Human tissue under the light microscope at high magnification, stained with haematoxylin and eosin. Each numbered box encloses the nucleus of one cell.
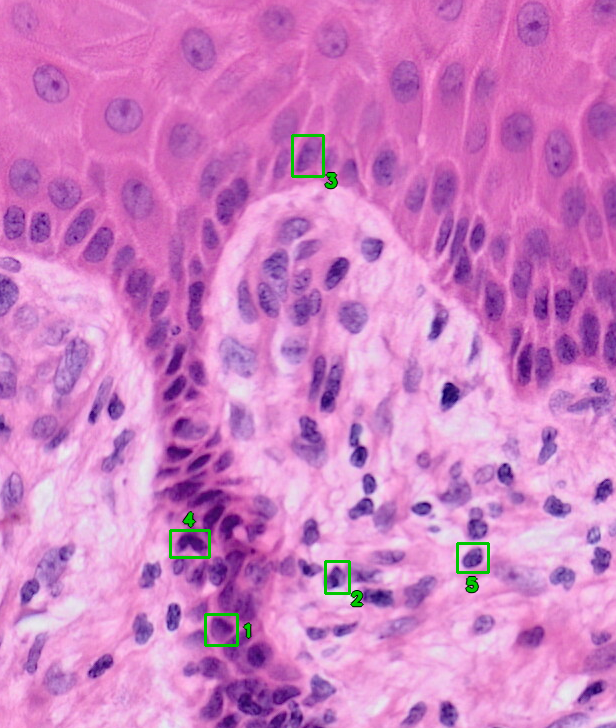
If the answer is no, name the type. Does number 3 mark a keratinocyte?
Yes.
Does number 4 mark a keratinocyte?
Yes.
